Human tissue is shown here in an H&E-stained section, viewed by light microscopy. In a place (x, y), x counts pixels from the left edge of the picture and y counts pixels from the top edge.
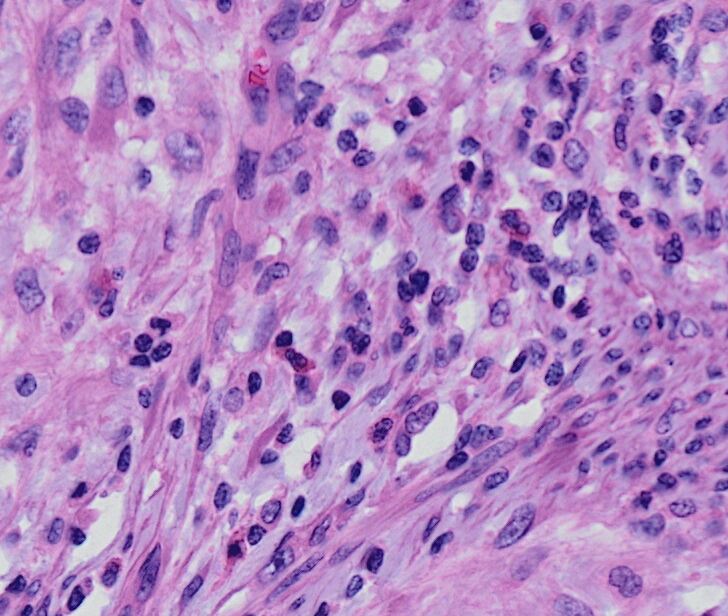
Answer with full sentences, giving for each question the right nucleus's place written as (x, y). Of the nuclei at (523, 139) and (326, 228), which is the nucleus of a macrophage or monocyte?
The nucleus at (326, 228) is the member of the pair belonging to a macrophage or monocyte.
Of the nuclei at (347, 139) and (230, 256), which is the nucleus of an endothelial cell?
The nucleus that belongs to an endothelial cell sits at (230, 256).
